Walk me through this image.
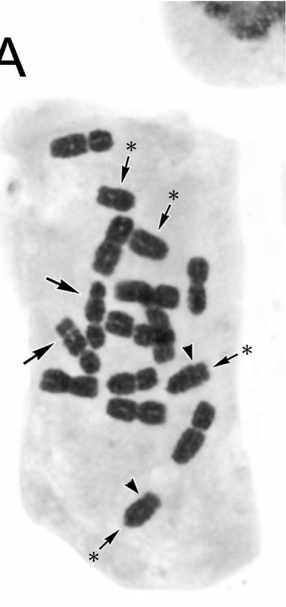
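This is a plant somatic cell at mitotic metaphase, its condensed chromosomes spread apart within the pale cytoplasm. Some chromosomes carry an extra pale narrowing that sets off a small end segment, and a few shorter ones have the constriction near one end. Part of a neighbouring cell's nucleus is seen at the top edge.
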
